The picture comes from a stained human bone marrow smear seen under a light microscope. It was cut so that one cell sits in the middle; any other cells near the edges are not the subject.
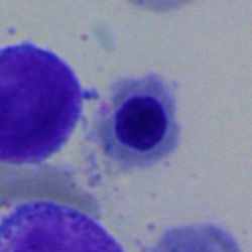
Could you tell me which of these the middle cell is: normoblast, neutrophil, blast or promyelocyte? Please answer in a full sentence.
What sits at the centre of this crop is a normoblast.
